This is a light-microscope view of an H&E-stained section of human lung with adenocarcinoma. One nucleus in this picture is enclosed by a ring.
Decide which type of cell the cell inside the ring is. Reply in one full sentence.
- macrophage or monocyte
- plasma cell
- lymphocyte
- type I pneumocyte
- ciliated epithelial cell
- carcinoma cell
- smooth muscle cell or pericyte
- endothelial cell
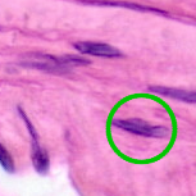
As far as its identity is concerned, the cell inside the ring is a smooth muscle cell or pericyte.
